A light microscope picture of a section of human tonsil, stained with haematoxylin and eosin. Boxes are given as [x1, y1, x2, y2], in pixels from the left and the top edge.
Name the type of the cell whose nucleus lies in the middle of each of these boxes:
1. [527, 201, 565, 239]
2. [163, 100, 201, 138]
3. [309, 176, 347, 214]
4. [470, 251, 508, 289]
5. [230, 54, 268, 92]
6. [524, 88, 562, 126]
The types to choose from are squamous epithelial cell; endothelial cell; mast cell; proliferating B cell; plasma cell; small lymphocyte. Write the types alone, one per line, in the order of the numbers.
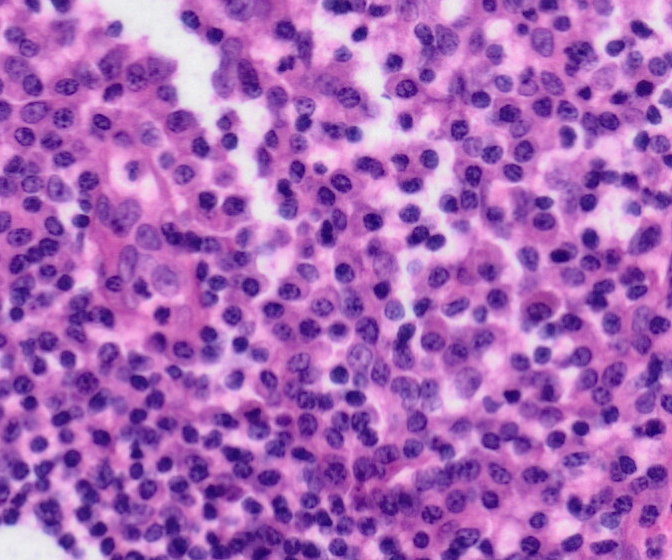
plasma cell
squamous epithelial cell
plasma cell
plasma cell
squamous epithelial cell
plasma cell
